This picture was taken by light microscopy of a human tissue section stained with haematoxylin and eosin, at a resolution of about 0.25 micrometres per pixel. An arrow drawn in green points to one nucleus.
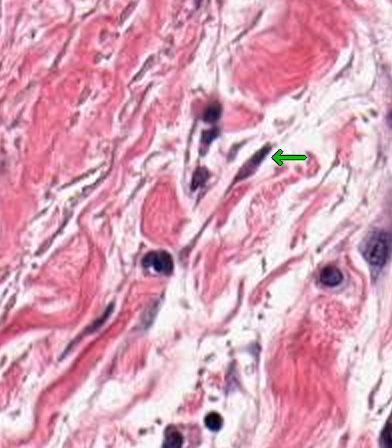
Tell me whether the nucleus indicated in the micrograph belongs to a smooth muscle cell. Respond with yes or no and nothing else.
no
